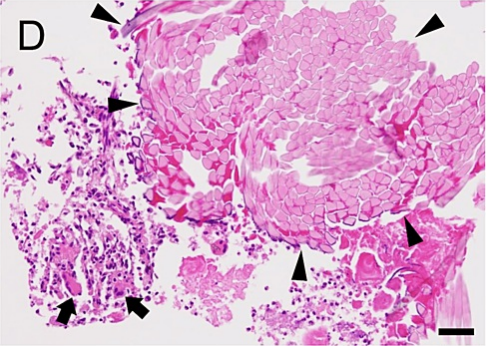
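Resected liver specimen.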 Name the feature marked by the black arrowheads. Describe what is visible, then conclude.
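Silk thread fragments. The arrowheads mark a mass of many small polygonal pale pink acellular profiles packed together. The profiles are uniform in size, like cross-cut fibers of a bundle.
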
